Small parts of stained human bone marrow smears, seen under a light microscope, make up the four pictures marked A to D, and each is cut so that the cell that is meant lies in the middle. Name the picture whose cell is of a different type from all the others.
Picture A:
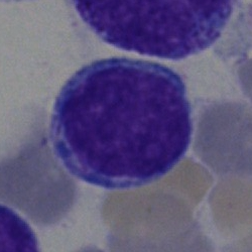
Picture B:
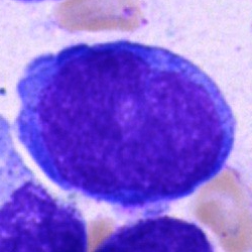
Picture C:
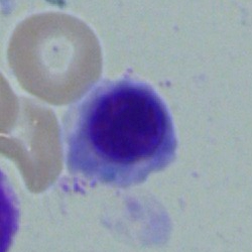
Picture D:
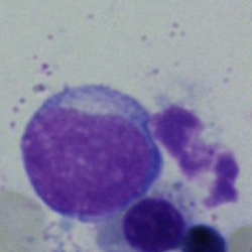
C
